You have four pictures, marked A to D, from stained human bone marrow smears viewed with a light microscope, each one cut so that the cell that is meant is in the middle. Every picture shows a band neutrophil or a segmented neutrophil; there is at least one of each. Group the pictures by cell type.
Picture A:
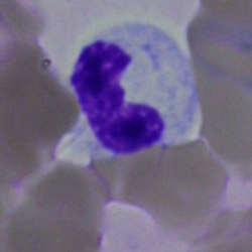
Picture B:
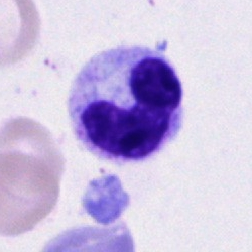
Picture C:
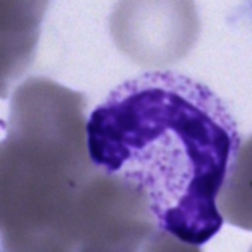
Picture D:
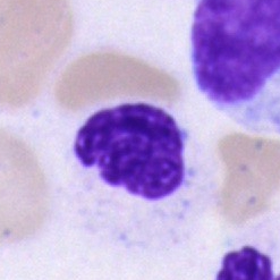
A: band neutrophil
B: band neutrophil
C: band neutrophil
D: segmented neutrophil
